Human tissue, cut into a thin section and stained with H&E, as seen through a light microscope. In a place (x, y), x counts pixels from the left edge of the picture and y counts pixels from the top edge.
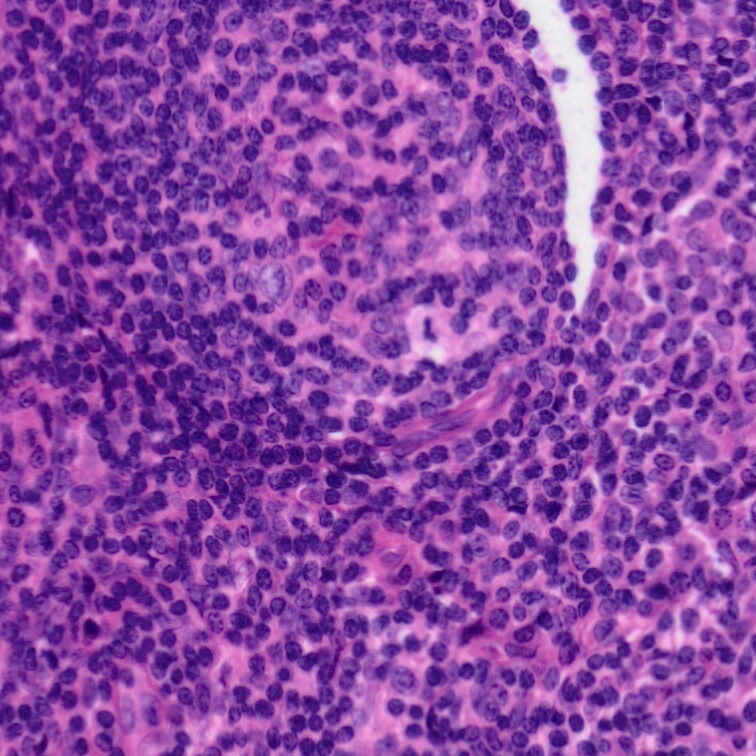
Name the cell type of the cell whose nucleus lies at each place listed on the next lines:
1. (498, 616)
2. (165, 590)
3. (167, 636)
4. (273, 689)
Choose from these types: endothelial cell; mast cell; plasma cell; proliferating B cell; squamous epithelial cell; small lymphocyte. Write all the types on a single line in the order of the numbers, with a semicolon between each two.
plasma cell; small lymphocyte; small lymphocyte; small lymphocyte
